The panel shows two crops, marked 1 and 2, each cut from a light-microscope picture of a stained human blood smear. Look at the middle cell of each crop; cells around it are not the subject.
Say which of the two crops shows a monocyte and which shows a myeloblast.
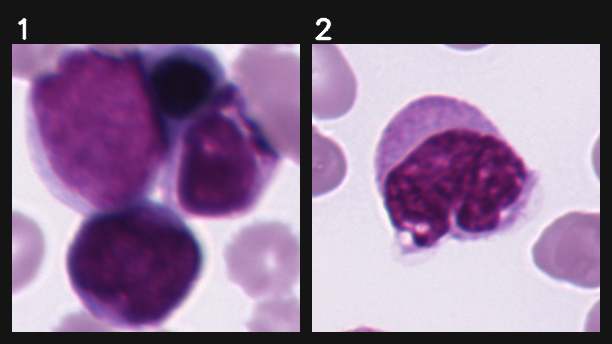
1: myeloblast
2: monocyte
